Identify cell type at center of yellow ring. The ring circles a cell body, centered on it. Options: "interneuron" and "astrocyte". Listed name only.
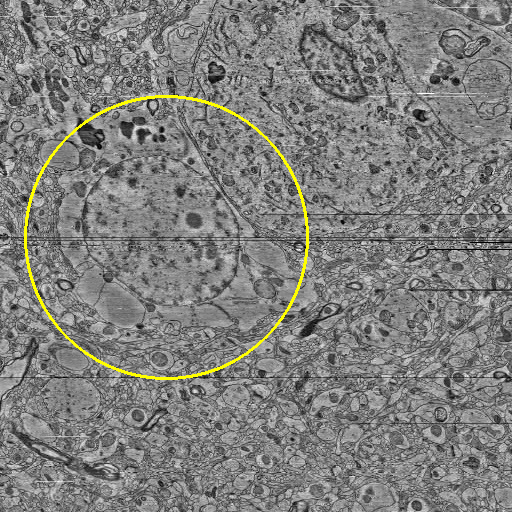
astrocyte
